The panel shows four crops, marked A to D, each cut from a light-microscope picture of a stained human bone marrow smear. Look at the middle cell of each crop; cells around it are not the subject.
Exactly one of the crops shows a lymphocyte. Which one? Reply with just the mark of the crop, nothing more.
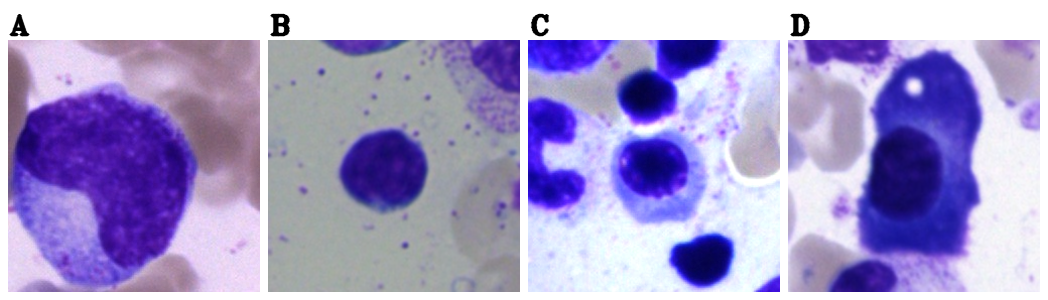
B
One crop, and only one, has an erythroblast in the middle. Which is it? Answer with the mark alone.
C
